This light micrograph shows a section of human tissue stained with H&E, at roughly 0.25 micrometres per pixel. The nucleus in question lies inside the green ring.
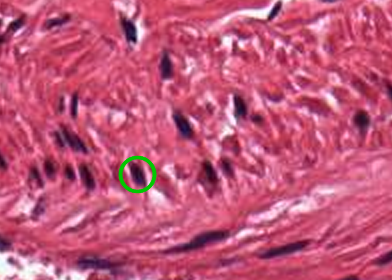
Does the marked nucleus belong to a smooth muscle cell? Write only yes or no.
yes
